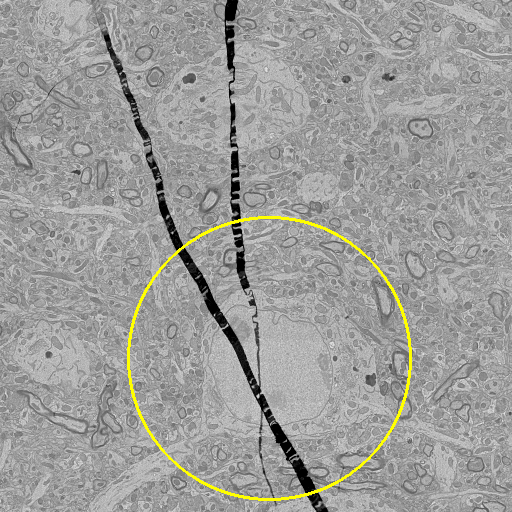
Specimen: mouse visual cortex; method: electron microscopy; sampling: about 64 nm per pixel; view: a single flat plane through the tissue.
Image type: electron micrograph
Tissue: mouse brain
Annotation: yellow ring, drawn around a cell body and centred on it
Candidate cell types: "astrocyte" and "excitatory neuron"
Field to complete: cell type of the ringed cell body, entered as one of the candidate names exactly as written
excitatory neuron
